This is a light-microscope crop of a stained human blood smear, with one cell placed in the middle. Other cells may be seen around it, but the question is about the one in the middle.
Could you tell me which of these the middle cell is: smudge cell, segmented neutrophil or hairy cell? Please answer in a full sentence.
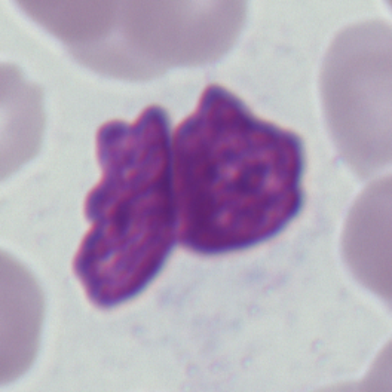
The crop's centre is taken up by a smudge cell.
